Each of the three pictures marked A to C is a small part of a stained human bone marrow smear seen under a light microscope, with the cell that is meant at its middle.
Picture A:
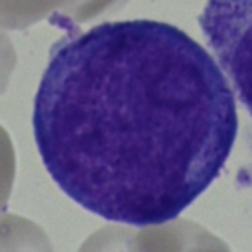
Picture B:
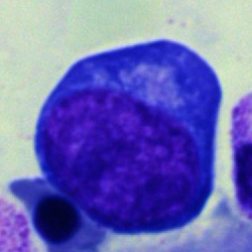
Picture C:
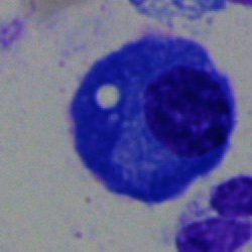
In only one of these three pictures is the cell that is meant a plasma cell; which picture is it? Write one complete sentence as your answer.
Picture C shows the plasma cell.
